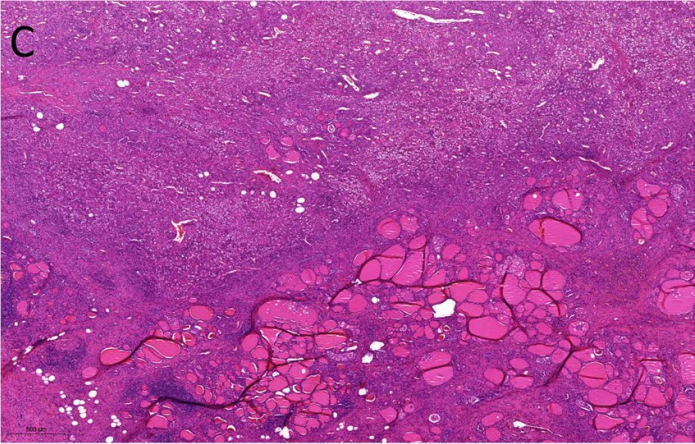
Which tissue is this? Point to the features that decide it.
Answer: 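Round follicles of varying size filled with homogeneous pink colloid. The follicles lie in a band within densely cellular purple tissue. On this evidence: thyroid gland.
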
